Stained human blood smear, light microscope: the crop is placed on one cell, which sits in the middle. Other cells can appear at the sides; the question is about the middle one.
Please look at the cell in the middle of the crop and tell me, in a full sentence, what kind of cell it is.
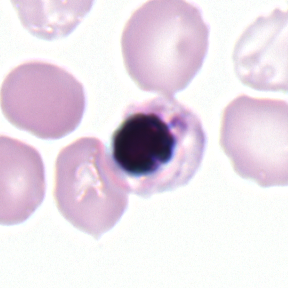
Within this crop, an erythroblast occupies the central position.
